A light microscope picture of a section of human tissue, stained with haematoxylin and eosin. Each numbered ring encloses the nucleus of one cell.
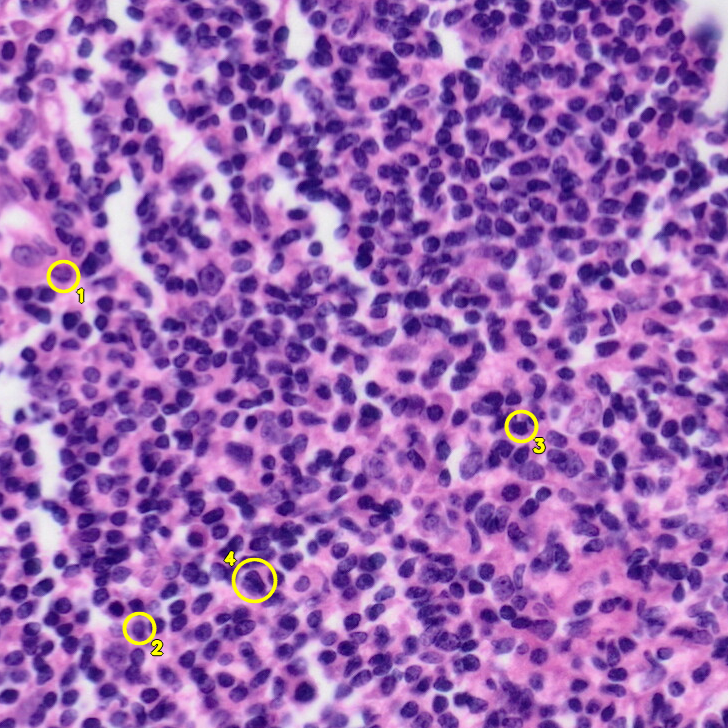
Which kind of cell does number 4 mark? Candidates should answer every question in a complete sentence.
In the marked set, the cell given number 4 is a small lymphocyte.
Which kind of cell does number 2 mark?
Cell 2 in the field is a small lymphocyte.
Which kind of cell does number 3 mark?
The correct label for cell 3 is a small lymphocyte.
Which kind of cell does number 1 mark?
The cell pointed out by number 1 is an endothelial cell.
